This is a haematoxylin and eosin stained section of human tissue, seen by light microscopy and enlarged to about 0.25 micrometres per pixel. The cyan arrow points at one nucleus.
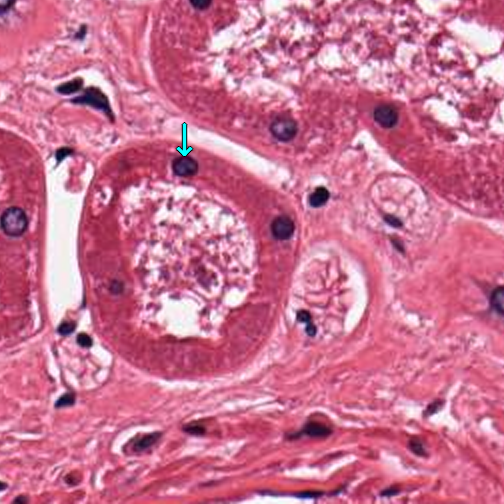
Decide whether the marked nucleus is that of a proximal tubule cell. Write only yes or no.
yes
